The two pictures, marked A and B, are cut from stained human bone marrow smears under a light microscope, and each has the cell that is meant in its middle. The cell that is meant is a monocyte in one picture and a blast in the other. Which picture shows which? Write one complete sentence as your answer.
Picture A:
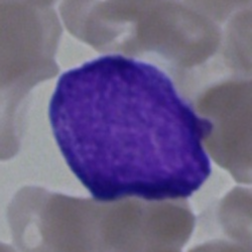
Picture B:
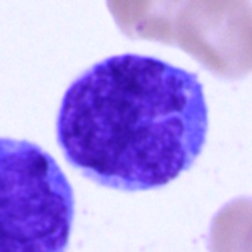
The cell in picture A is a blast, and the one in picture B is a monocyte.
